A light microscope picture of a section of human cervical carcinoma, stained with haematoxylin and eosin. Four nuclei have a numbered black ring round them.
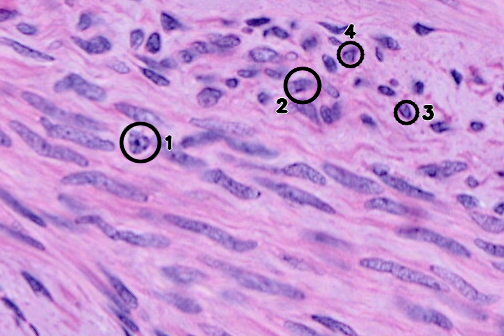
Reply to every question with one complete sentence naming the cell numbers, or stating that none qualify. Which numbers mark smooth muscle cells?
The cells with numbers 2, 3 and 4 are smooth muscle cells by type.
